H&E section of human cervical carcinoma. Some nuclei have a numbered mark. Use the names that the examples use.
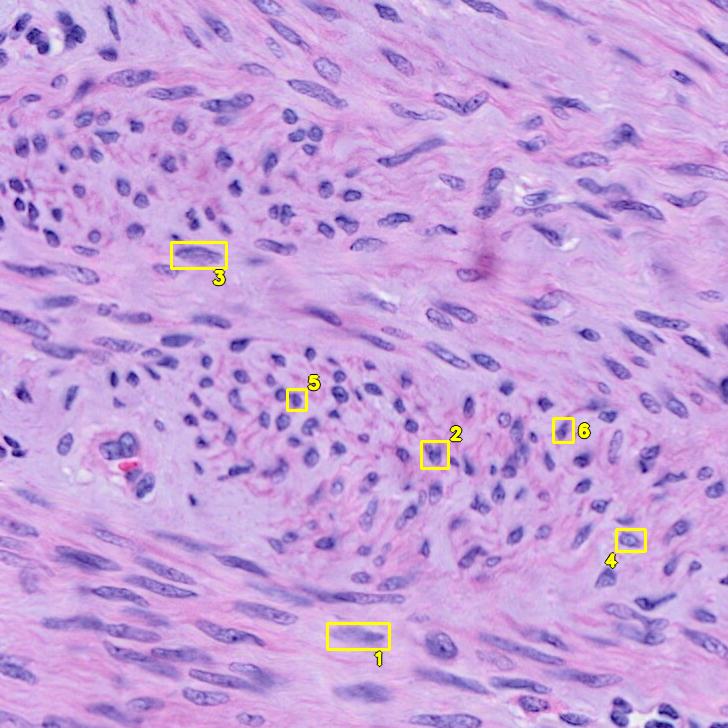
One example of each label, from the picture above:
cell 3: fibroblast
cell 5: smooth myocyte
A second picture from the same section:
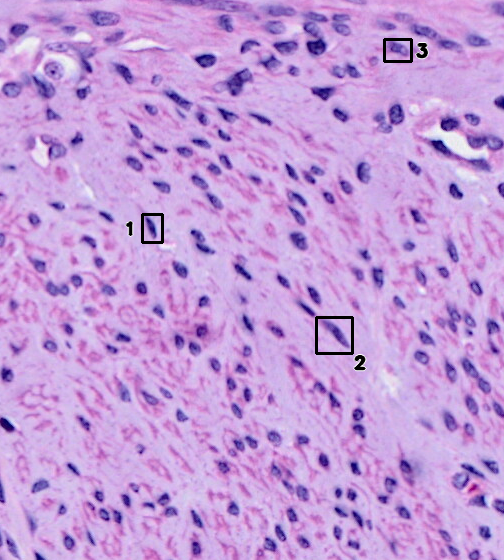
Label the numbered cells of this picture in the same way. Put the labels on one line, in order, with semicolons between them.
fibroblast; fibroblast; smooth myocyte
